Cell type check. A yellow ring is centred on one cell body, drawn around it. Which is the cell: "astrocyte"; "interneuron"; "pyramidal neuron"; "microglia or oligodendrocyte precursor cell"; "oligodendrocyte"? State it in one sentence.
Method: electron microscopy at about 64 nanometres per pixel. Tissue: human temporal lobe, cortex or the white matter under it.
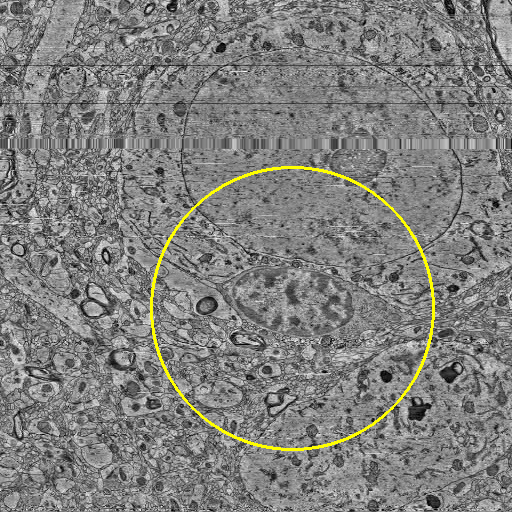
The cell body at the ring's centre belongs to an oligodendrocyte.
